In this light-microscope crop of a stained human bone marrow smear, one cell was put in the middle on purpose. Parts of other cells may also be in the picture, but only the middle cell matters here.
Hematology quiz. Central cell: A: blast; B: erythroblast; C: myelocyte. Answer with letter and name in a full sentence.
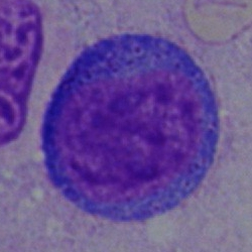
What sits in the middle of the crop is a blast, and option A is correct.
